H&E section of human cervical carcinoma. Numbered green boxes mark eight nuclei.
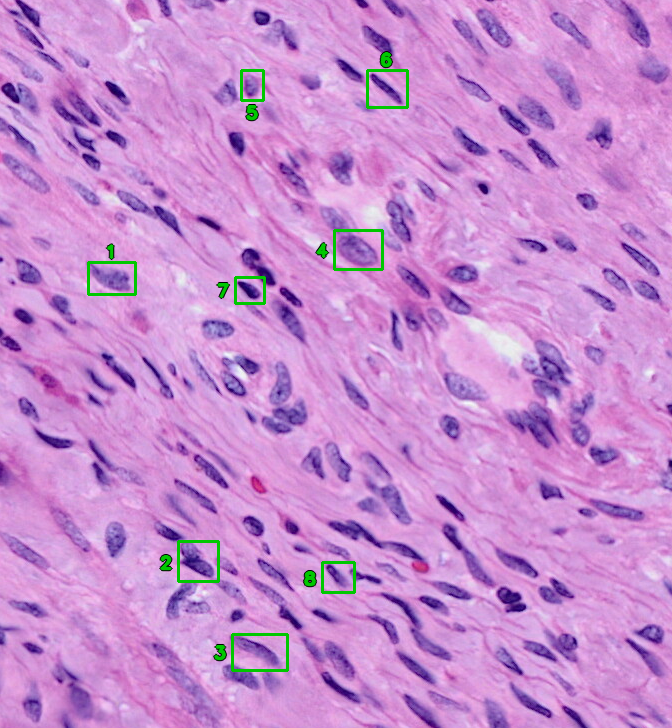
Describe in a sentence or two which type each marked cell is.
Cell 1 is a fibroblast, cell 2 is a fibroblast, cell 3 is a fibroblast, cell 4 is an endothelial cell, cell 5 is a smooth muscle cell, cell 6 is a fibroblast, cell 7 is a lymphocyte and cell 8 is a fibroblast.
